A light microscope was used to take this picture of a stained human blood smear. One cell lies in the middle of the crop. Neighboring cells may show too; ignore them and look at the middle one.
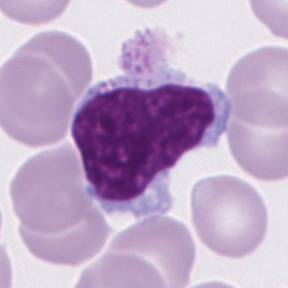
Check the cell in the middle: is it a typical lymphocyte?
no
